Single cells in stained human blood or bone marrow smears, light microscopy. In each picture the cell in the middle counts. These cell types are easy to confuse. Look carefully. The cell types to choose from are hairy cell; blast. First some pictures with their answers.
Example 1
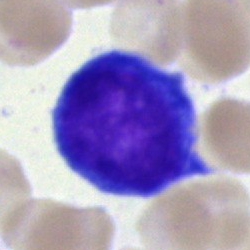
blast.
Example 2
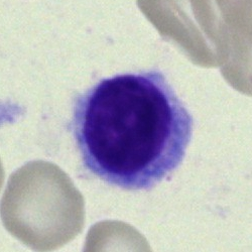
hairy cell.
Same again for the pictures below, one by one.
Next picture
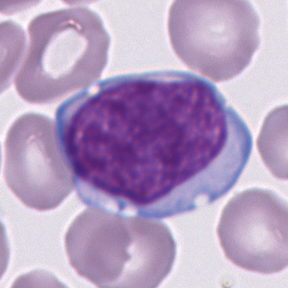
blast.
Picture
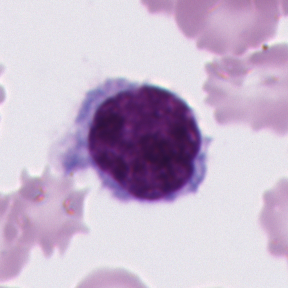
hairy cell.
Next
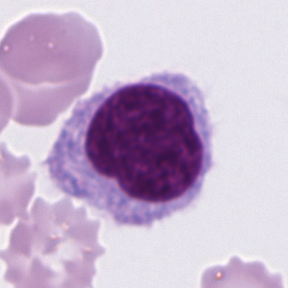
hairy cell.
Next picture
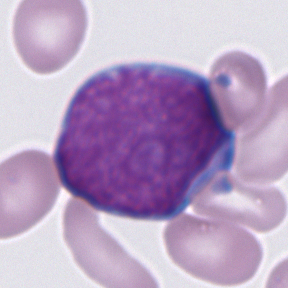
blast.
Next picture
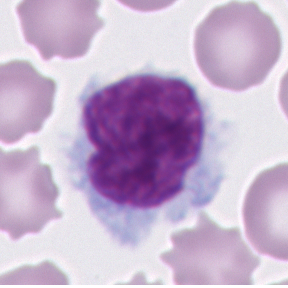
hairy cell.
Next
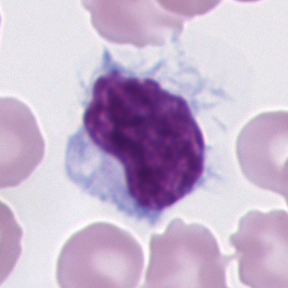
hairy cell.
